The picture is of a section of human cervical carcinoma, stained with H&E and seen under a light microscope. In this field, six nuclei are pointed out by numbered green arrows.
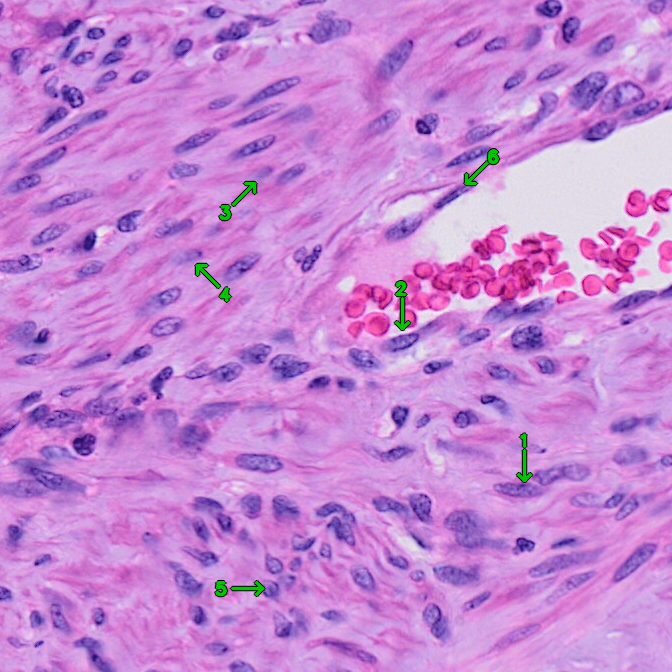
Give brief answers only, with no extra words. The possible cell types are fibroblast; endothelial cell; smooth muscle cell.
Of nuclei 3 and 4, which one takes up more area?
4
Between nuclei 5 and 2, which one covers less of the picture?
5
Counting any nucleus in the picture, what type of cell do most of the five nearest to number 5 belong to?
smooth muscle cell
